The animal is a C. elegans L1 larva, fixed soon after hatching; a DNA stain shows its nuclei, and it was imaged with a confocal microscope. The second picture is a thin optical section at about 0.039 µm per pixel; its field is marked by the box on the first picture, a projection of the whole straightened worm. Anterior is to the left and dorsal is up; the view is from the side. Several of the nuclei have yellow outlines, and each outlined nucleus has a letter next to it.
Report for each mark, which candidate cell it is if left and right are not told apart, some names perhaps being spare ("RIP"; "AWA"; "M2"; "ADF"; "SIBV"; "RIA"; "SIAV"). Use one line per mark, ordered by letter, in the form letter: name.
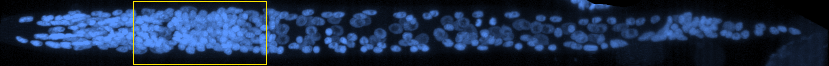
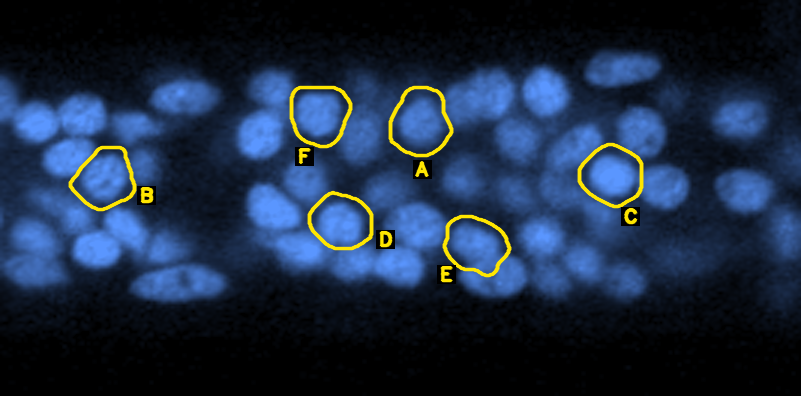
A: AWA
B: RIP
C: M2
D: SIBV
E: SIAV
F: RIA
